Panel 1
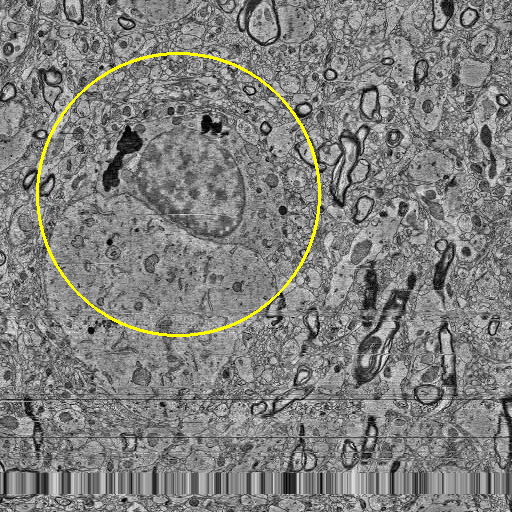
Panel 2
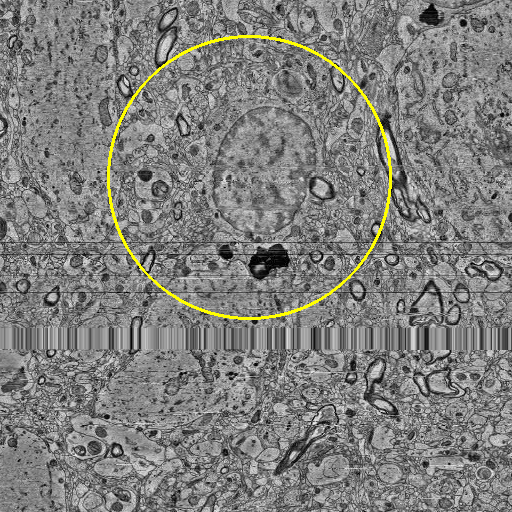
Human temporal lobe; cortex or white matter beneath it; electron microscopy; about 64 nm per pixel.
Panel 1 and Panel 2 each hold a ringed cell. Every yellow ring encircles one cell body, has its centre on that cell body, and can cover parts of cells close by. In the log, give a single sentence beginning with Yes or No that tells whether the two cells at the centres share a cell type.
Yes, in Panel 1 and Panel 2 the centred cells share a cell type.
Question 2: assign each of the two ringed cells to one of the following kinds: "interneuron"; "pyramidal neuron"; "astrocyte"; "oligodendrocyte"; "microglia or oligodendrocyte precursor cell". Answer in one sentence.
Each cell at the centre of a ring is an oligodendrocyte.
